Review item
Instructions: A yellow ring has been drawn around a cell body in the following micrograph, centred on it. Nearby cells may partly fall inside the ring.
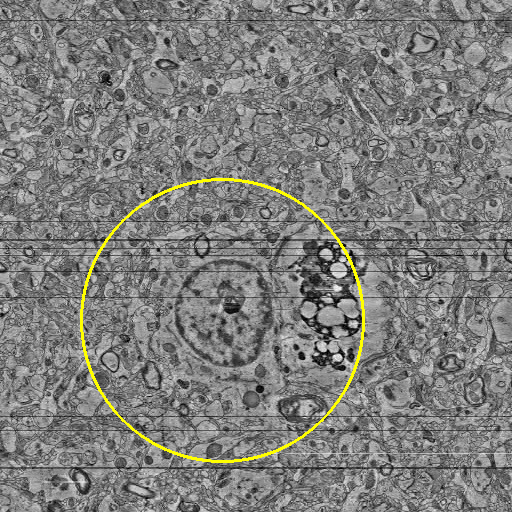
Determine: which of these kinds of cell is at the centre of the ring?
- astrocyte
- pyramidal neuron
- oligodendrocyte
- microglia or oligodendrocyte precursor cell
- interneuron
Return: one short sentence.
The cell body in the middle of the ring is that of an astrocyte.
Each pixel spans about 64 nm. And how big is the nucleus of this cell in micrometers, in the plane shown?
About 7 micrometres by about 6 micrometres in this plane.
